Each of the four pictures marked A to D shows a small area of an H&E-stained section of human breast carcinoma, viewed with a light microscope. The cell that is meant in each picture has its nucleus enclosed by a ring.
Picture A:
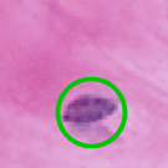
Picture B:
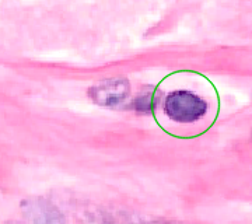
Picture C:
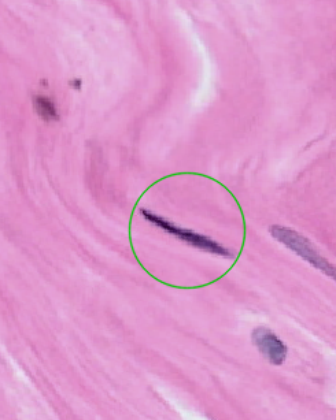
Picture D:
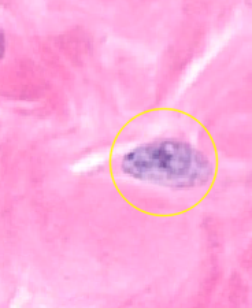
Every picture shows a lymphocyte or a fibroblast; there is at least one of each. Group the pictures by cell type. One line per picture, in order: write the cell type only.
fibroblast
lymphocyte
fibroblast
fibroblast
